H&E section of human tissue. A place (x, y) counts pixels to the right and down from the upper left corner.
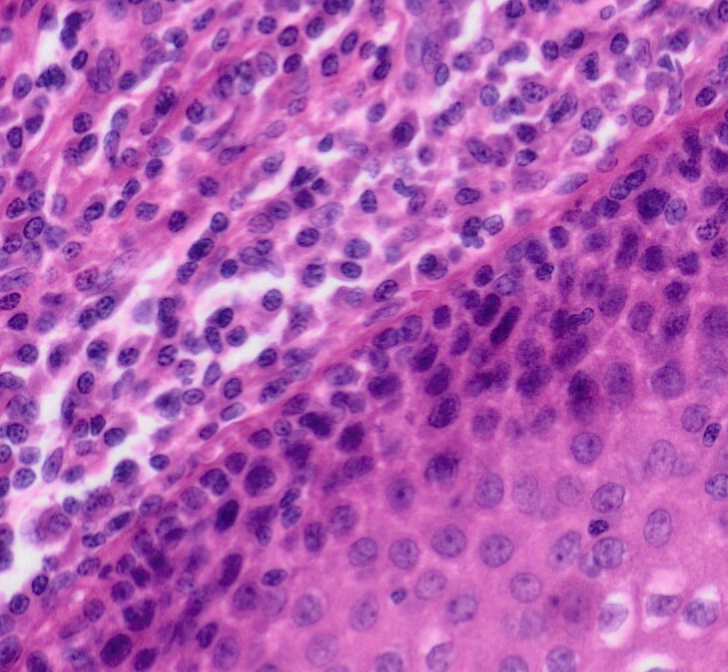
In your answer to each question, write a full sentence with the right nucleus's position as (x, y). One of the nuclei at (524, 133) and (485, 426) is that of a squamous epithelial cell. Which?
The nucleus of a squamous epithelial cell lies at (485, 426), not at the other position.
